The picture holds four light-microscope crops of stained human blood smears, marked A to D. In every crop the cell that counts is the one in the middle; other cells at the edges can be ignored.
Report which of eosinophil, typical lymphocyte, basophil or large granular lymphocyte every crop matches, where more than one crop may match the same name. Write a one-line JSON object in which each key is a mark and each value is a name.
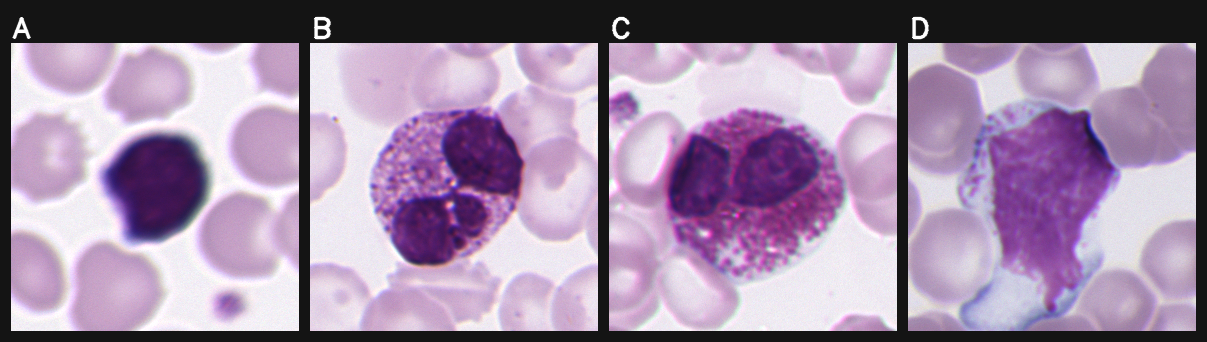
{"A": "typical lymphocyte", "B": "basophil", "C": "eosinophil", "D": "large granular lymphocyte"}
